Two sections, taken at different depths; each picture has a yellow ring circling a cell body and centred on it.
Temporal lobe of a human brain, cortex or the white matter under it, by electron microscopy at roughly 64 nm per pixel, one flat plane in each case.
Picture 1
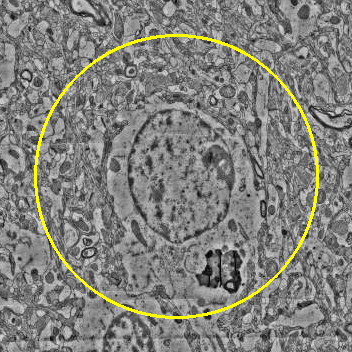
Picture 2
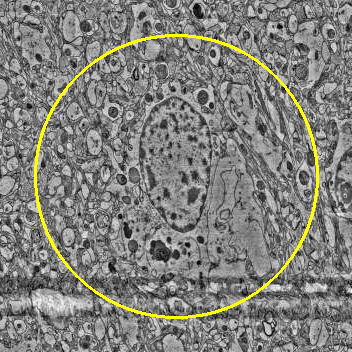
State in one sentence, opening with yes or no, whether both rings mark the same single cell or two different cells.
No, two distinct cells are each enclosed by a yellow ring.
